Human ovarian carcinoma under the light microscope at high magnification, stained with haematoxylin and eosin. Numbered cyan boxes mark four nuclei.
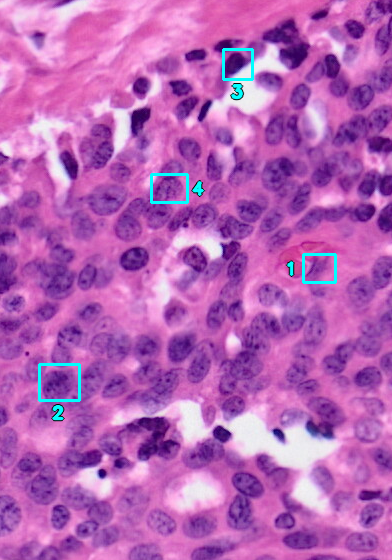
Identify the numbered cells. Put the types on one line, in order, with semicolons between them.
endothelial cell; carcinoma cell; carcinoma cell; carcinoma cell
